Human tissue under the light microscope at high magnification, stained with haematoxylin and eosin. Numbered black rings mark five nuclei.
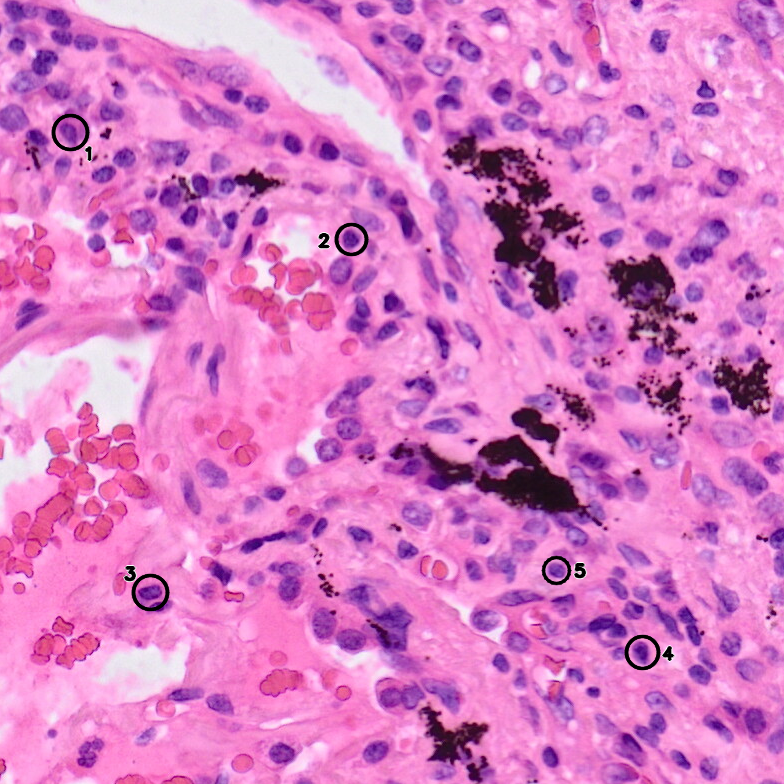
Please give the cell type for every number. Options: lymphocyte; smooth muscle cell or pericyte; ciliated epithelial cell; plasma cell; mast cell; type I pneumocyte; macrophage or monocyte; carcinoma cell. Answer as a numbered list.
1. plasma cell
2. lymphocyte
3. mast cell
4. lymphocyte
5. lymphocyte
